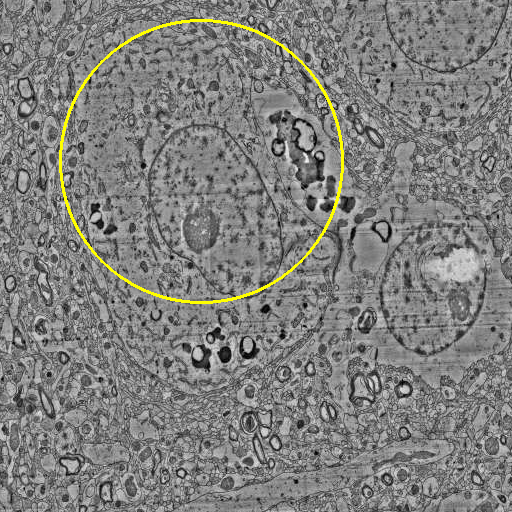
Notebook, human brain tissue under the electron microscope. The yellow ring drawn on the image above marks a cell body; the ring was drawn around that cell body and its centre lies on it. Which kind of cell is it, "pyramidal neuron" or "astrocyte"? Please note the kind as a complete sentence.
The marked cell body is that of a pyramidal neuron.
